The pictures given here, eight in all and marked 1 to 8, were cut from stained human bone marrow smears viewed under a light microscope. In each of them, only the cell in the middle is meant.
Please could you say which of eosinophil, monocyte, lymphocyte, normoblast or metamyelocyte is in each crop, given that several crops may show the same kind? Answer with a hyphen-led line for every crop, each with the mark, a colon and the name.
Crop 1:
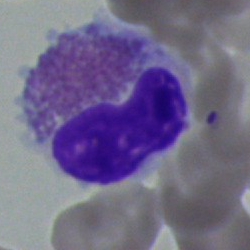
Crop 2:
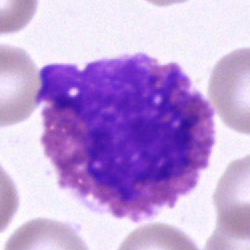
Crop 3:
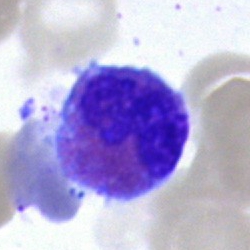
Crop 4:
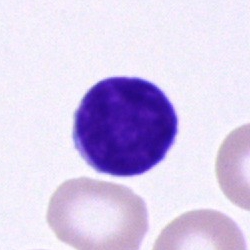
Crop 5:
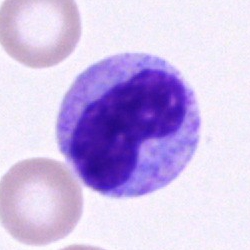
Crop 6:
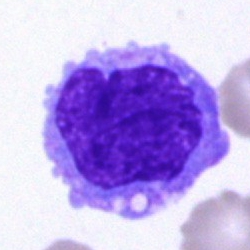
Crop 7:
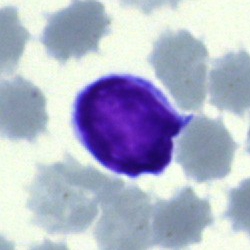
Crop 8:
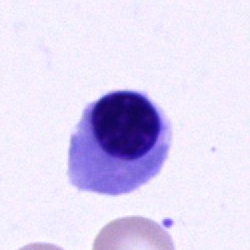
- 1: eosinophil
- 2: eosinophil
- 3: eosinophil
- 4: lymphocyte
- 5: metamyelocyte
- 6: monocyte
- 7: lymphocyte
- 8: normoblast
